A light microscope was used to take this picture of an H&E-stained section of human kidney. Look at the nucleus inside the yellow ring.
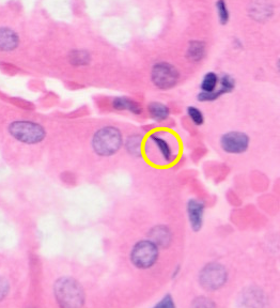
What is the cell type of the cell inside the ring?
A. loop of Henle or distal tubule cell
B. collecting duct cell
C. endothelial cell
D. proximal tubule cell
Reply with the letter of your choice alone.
C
